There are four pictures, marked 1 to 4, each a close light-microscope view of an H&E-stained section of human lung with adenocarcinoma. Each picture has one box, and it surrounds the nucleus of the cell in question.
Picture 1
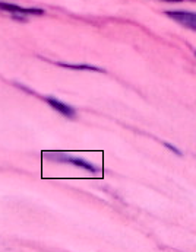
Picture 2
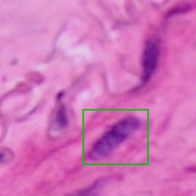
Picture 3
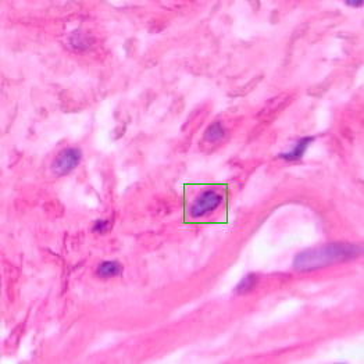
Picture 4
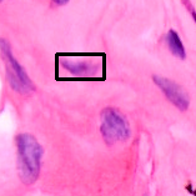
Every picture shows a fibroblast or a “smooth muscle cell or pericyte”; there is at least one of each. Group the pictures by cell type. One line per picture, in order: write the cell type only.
fibroblast
smooth muscle cell or pericyte
smooth muscle cell or pericyte
fibroblast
